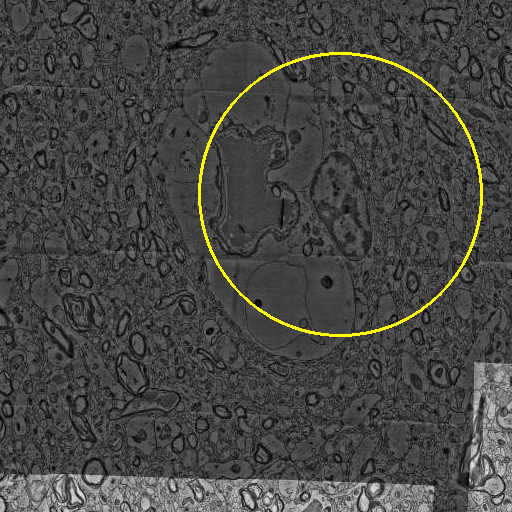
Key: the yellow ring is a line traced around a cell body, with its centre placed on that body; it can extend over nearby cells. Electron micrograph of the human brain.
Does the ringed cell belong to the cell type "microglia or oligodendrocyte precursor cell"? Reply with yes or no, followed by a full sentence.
Yes, the cell at the centre of the yellow ring in the picture is of that type.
